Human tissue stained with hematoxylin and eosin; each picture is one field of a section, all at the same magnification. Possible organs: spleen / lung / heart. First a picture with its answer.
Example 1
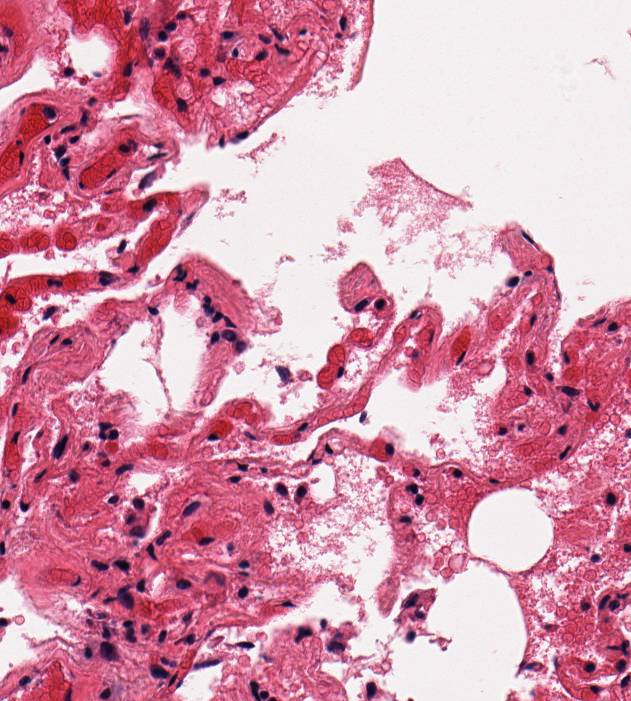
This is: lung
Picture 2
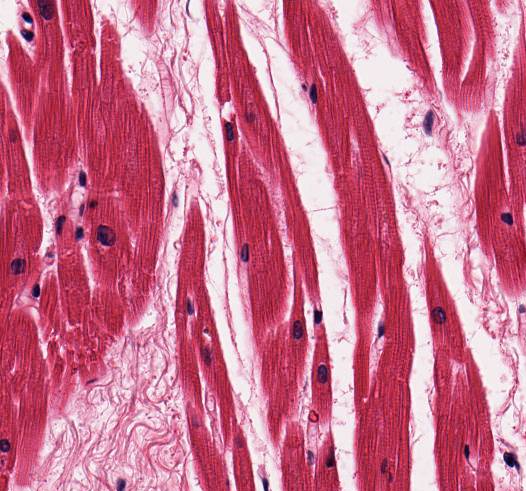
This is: heart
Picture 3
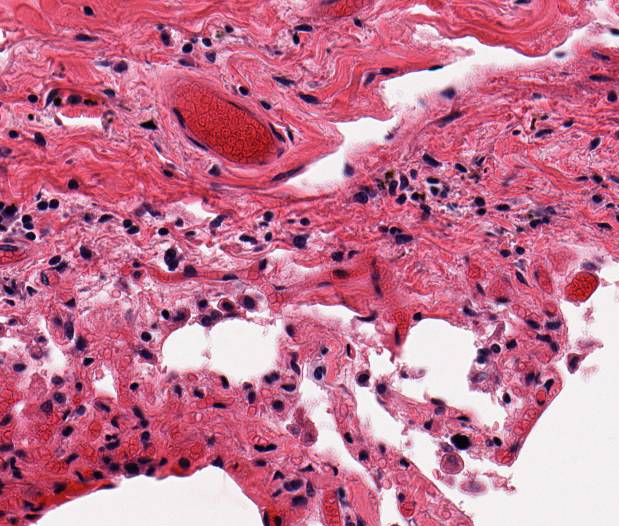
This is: lung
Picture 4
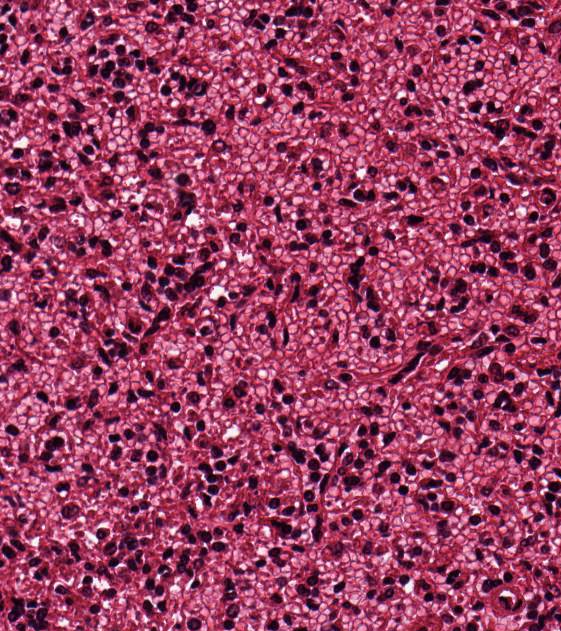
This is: spleen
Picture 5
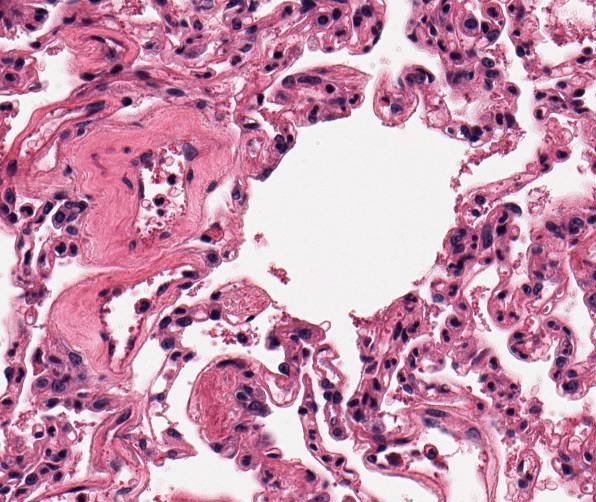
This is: lung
